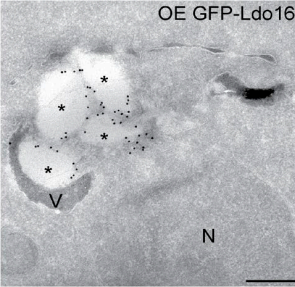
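Thin section of a cell with a group of lipid droplets packed into a pocket between a vacuole and the nucleus. Several pale, electron-lucent, rounded droplets abut one another, and many black gold particles line their rims and the narrow spaces between them. A dark grey vacuole lies at the lower left edge of the group, and the smooth grey nucleus occupies the right and lower part of the field.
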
